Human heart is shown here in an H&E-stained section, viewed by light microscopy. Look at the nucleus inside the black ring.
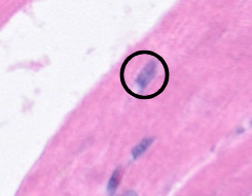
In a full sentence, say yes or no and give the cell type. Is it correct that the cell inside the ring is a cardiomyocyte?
No, the cell inside the ring qualifies as an endothelial cell and does not qualify as a cardiomyocyte.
